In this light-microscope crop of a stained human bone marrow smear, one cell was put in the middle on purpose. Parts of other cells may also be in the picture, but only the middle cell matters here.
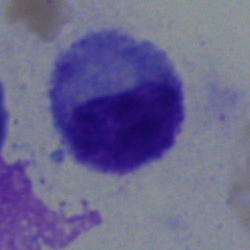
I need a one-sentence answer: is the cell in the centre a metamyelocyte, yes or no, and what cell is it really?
Yes, centred in the crop is a metamyelocyte.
